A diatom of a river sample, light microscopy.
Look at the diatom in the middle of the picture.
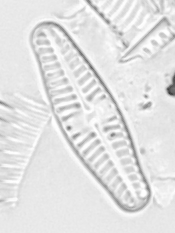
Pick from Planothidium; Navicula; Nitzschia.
Planothidium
